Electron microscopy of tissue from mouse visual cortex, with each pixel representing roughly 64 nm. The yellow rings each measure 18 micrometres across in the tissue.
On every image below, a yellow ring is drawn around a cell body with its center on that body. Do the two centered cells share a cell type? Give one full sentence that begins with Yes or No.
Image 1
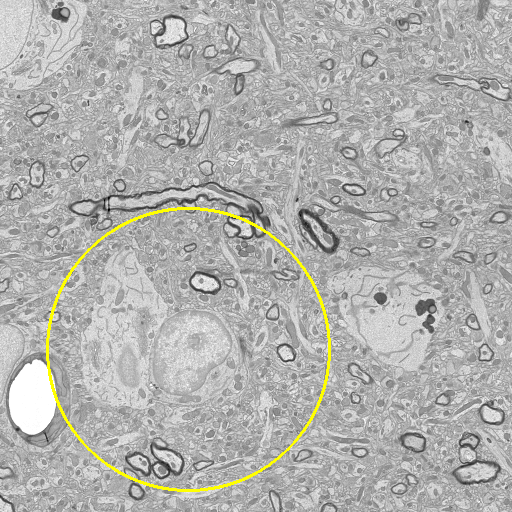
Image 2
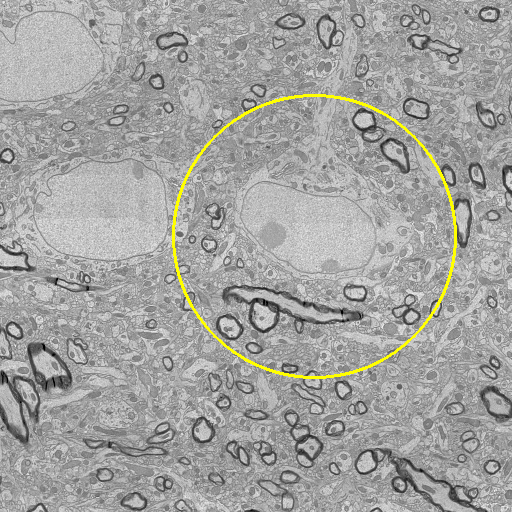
No, the centered cells in the two images are of two separate cell types.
